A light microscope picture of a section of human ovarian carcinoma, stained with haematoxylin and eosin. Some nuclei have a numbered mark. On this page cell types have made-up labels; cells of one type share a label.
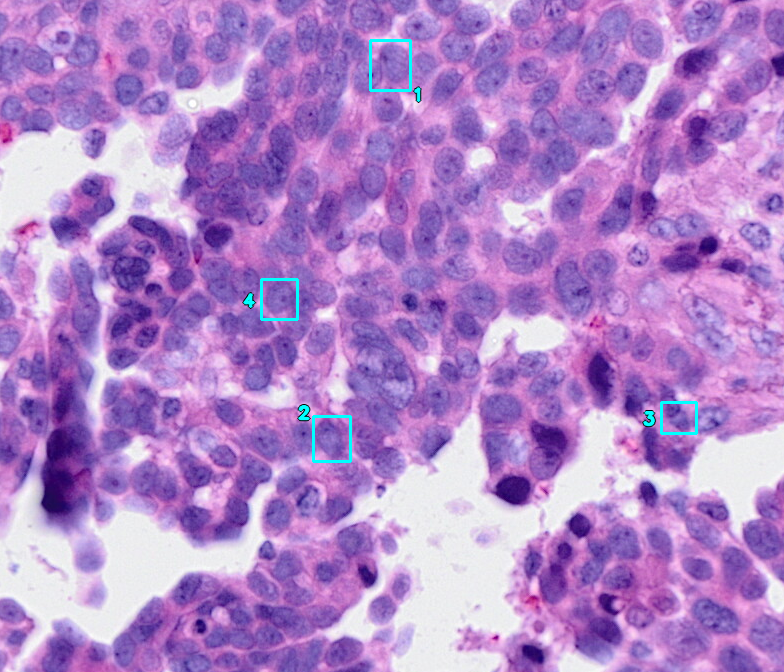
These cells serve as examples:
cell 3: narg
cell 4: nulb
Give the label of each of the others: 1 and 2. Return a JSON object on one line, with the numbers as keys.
{"1": "nulb", "2": "nulb"}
